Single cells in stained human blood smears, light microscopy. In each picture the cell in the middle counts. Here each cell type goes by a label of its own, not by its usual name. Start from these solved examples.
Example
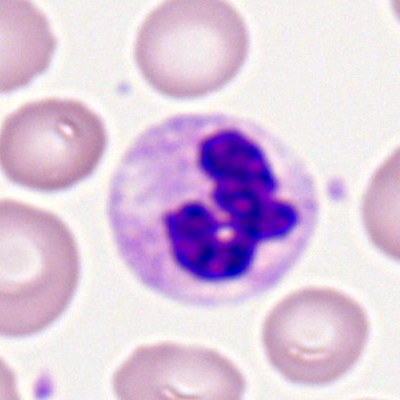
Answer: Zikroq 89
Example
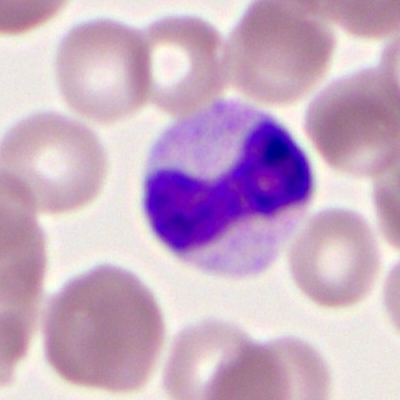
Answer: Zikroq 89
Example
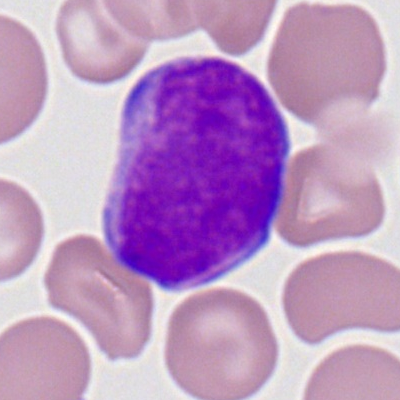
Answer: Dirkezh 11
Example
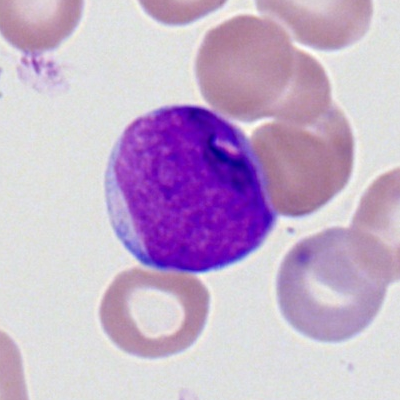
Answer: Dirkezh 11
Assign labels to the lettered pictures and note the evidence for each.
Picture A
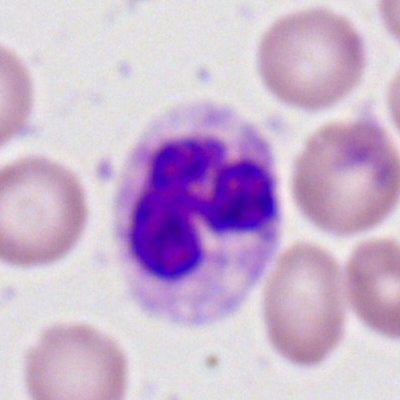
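Zikroq 89. Reason: The cytoplasm is plentiful and pale lilac-pink.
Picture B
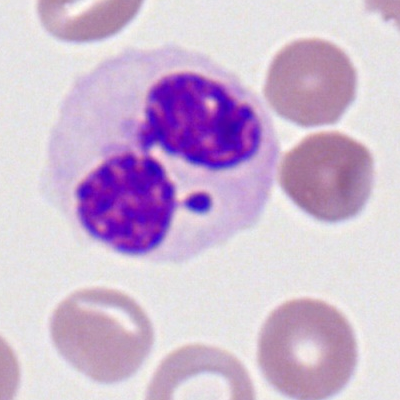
Zikroq 89. Reason: The cytoplasm is plentiful and pale pinkish-lilac.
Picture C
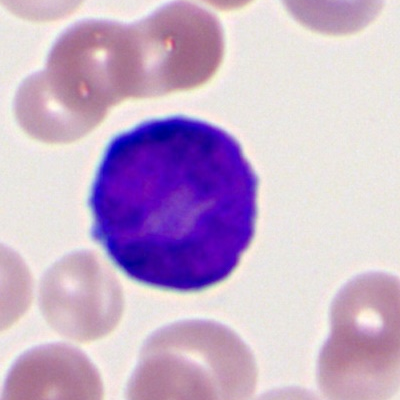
Dirkezh 11. Reason: Cytoplasm is at most a very thin rim that is hardly visible.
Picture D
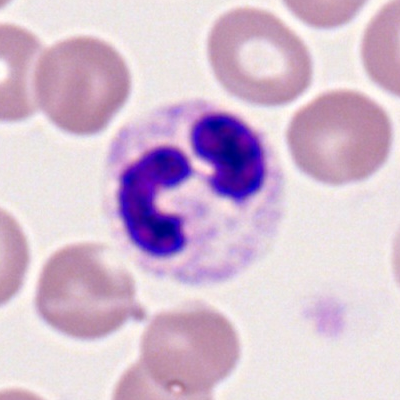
Zikroq 89. Reason: The cytoplasm is abundant and pale pinkish-lilac.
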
